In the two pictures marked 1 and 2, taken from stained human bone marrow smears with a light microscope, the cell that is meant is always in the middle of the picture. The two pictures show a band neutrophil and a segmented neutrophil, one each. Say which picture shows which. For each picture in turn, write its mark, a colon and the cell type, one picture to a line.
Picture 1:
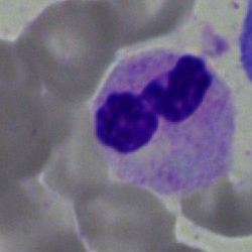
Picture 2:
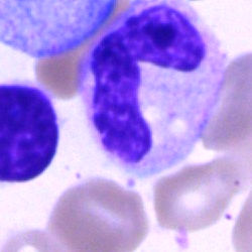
1: segmented neutrophil
2: band neutrophil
